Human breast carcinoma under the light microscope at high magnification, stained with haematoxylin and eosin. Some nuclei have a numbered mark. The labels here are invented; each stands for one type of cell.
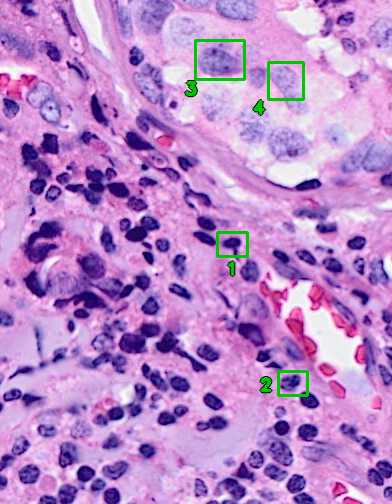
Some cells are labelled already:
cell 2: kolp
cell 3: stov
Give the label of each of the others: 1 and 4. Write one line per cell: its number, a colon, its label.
1: kolp
4: stov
